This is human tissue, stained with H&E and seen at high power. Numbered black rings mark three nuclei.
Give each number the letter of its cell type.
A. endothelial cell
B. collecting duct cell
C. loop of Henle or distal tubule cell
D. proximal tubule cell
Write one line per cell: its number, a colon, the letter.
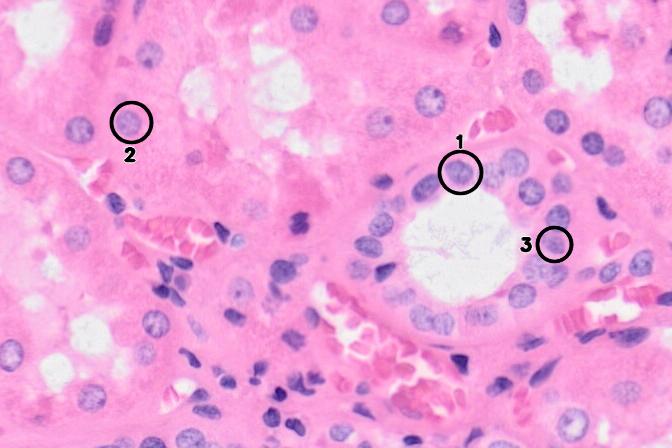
1: B
2: D
3: B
